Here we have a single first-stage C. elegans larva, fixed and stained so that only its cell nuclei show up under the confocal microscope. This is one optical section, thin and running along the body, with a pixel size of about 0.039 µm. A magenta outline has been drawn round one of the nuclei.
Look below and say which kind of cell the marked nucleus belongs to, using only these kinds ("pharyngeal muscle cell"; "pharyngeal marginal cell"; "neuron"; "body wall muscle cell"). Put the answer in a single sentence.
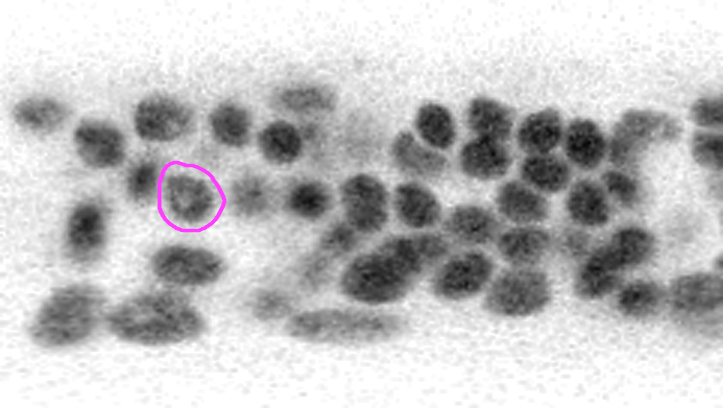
The marked nucleus is that of a pharyngeal muscle cell.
